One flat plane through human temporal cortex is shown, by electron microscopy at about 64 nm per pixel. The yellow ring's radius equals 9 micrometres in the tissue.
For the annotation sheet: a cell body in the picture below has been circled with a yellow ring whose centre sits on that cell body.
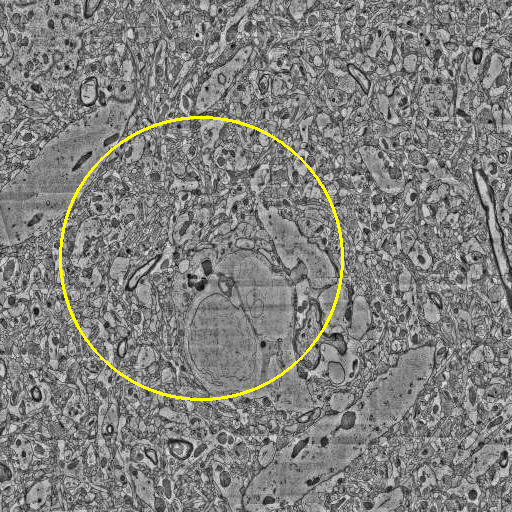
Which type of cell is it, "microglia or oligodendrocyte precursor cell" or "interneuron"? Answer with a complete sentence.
The circled cell is a microglial cell or oligodendrocyte precursor cell.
